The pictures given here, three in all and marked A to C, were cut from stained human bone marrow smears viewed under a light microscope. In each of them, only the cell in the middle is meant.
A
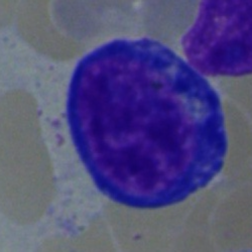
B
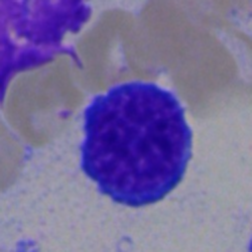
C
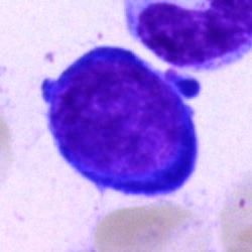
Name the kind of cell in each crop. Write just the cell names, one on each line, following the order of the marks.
proerythroblast
lymphocyte
proerythroblast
